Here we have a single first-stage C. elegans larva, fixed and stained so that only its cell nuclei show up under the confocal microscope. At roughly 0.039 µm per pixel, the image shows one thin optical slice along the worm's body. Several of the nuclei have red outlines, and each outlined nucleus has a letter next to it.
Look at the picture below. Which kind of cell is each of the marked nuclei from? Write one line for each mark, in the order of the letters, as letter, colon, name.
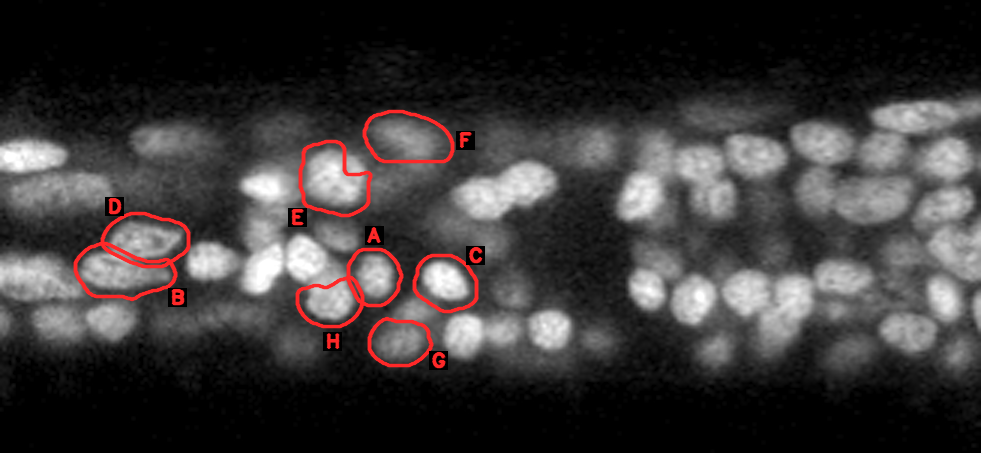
A: neuron
B: pharyngeal epithelial cell
C: neuron
D: pharyngeal muscle cell
E: pharyngeal muscle cell
F: hypodermal cell (hyp)
G: neuron
H: pharyngeal muscle cell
